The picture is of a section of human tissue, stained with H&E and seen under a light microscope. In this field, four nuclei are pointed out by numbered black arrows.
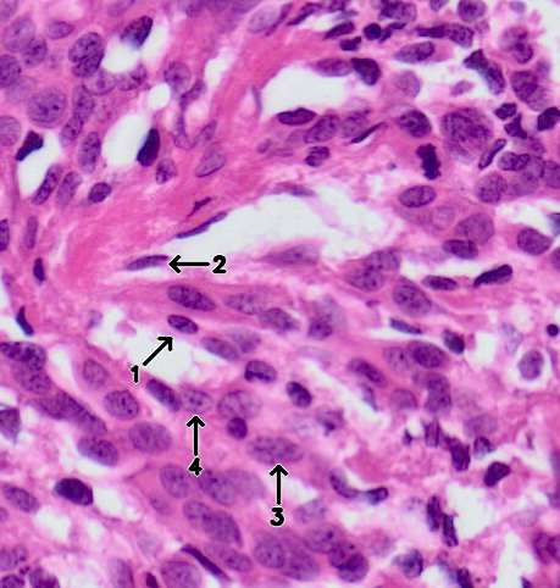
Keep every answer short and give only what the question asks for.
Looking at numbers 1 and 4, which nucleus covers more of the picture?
4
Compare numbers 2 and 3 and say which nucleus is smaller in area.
2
